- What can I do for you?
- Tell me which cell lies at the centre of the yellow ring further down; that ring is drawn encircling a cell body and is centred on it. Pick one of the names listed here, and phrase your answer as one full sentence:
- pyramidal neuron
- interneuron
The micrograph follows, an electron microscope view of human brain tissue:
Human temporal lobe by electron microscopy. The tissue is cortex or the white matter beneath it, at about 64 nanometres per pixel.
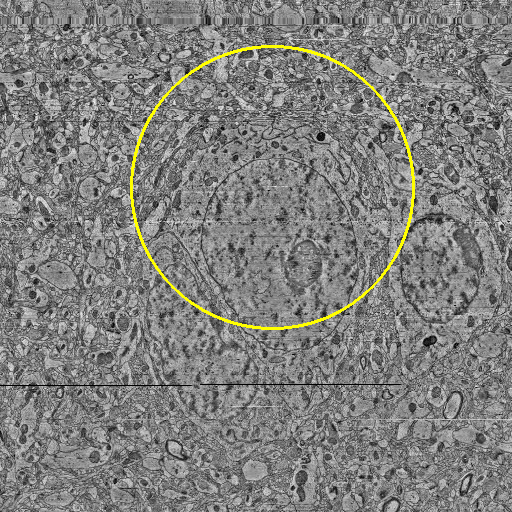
The cell whose body lies at the centre of the yellow ring is a pyramidal neuron.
